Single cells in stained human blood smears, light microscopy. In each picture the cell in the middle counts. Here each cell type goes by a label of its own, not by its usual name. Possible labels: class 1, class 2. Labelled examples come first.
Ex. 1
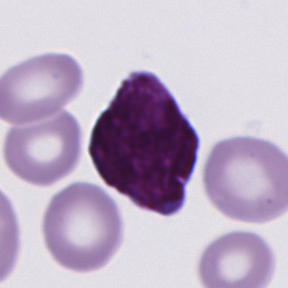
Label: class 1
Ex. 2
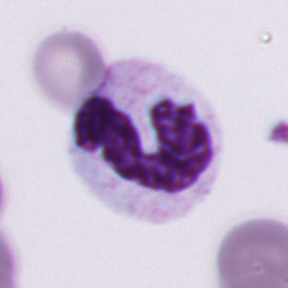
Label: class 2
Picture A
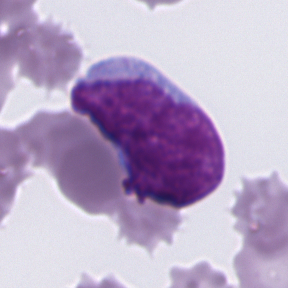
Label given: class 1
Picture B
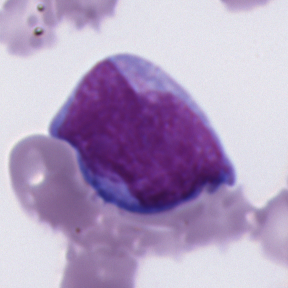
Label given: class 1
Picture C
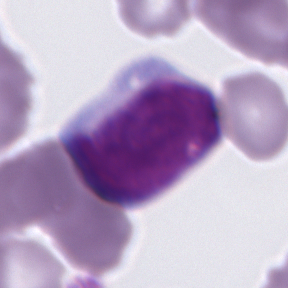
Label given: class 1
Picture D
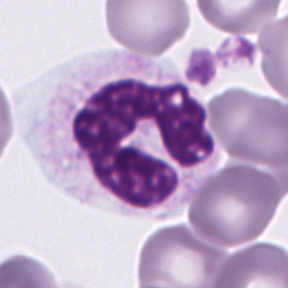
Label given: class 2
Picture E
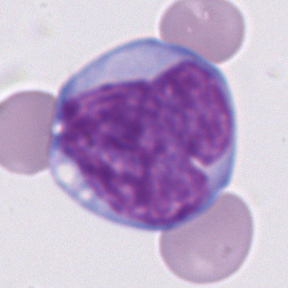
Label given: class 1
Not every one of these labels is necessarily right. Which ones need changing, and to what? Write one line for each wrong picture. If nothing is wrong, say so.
No label is wrong.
